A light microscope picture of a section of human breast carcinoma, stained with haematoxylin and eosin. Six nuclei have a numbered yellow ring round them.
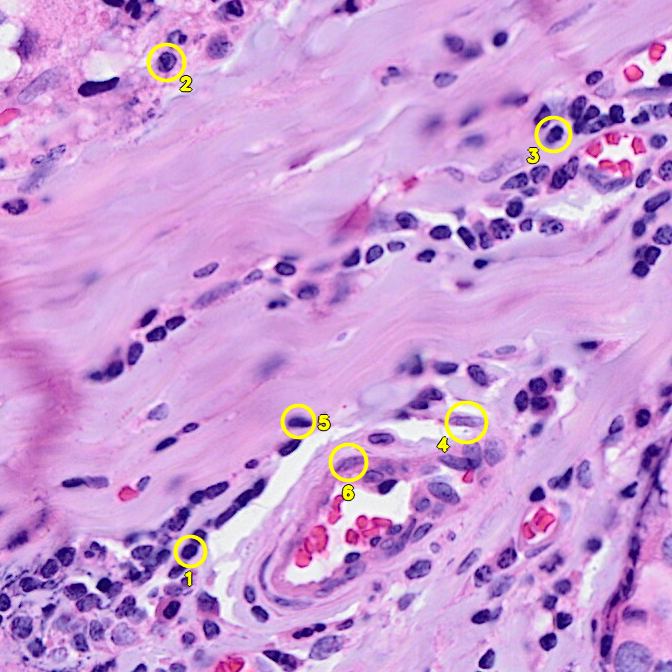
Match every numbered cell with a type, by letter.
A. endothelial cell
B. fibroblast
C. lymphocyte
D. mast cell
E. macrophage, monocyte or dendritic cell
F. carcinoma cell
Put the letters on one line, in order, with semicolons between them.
C; C; C; B; C; A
